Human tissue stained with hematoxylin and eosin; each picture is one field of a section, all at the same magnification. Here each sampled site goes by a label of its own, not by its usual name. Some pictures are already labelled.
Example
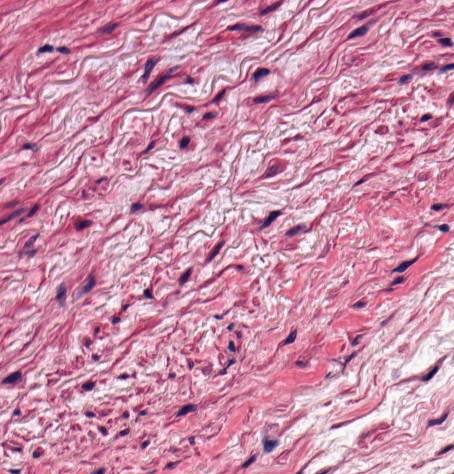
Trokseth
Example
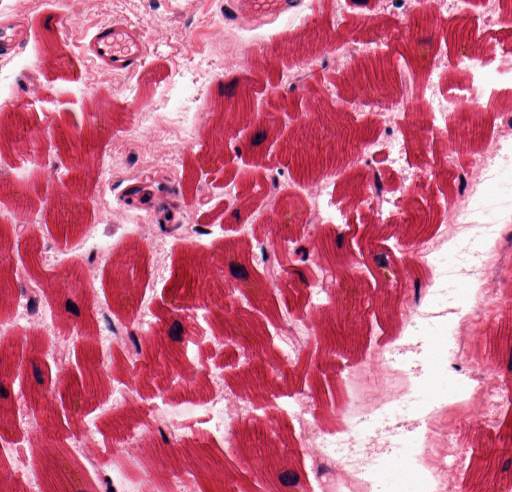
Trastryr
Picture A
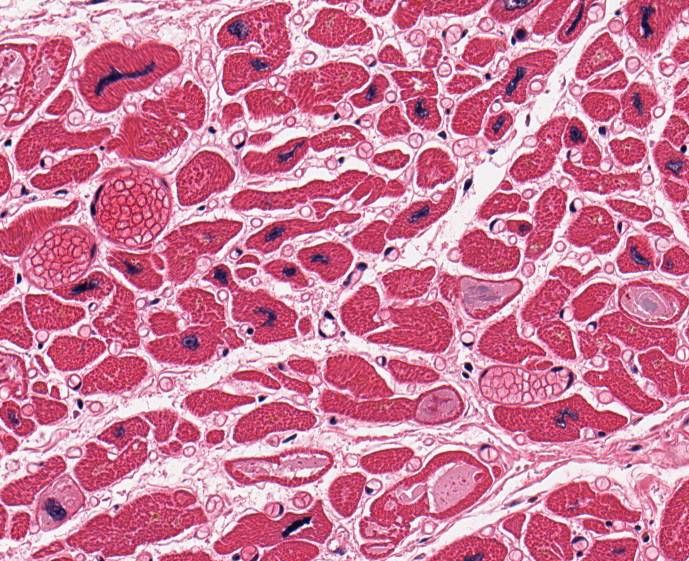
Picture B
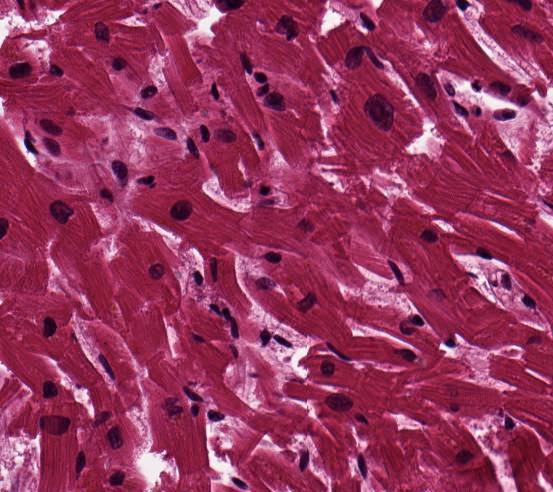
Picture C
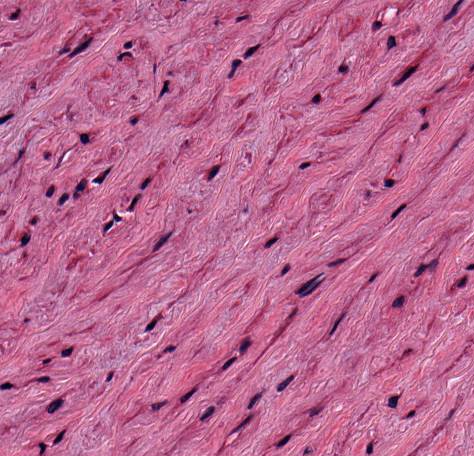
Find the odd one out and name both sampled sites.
Odd one out: C (Trokseth). The rest: Trastryr.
